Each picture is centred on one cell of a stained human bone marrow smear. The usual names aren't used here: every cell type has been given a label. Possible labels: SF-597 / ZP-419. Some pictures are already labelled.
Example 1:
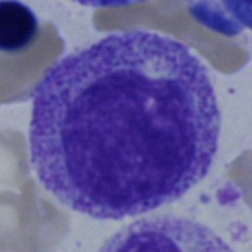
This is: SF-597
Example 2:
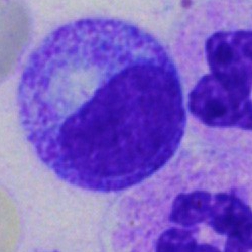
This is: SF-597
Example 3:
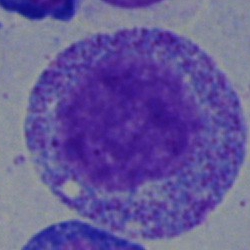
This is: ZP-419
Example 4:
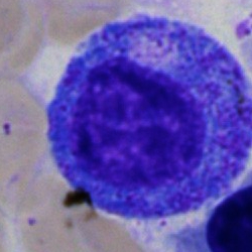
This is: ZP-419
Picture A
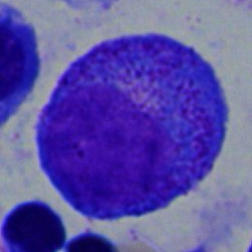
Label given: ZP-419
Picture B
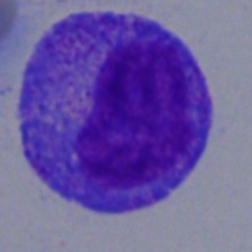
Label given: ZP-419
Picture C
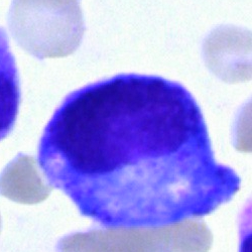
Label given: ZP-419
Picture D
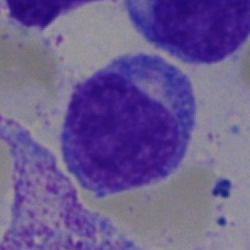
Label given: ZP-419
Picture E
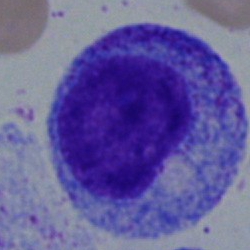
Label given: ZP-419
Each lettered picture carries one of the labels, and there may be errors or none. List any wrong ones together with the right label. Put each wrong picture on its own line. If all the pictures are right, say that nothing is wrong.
D should be SF-597, not ZP-419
